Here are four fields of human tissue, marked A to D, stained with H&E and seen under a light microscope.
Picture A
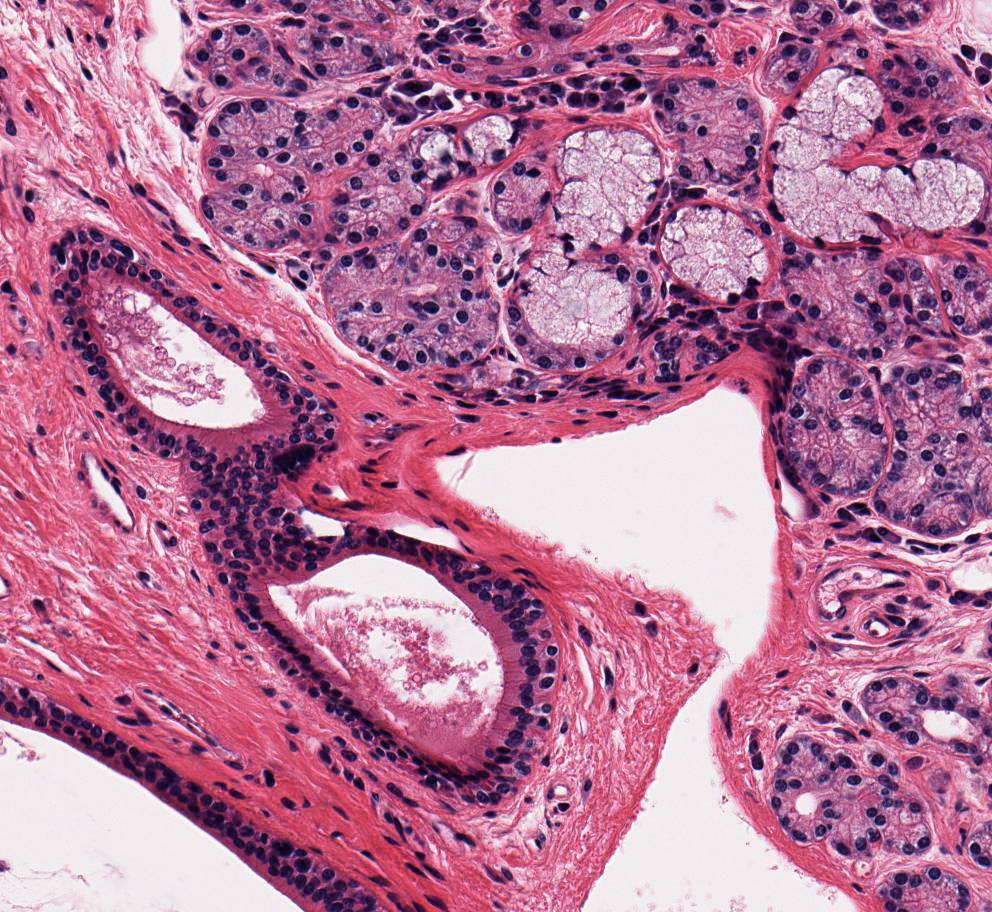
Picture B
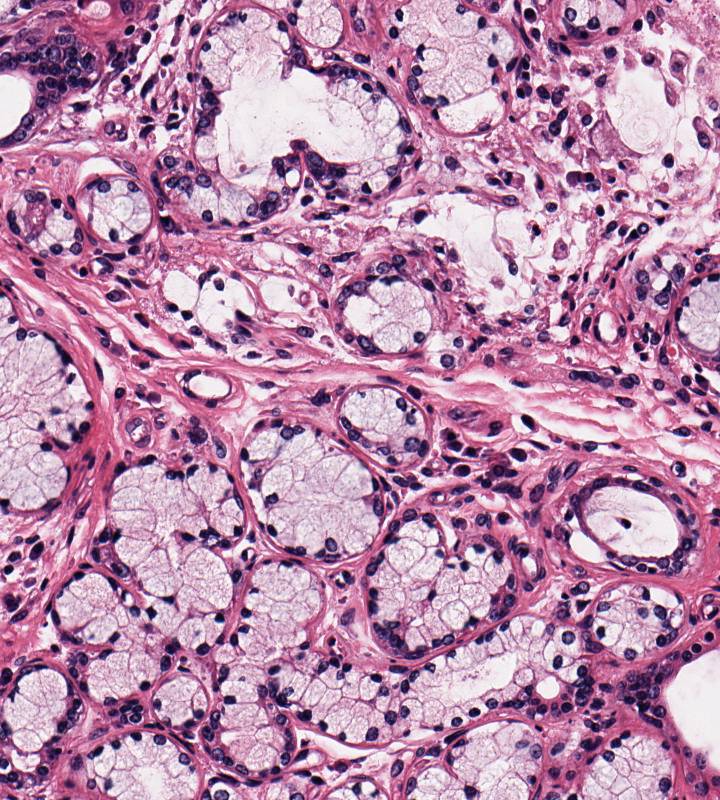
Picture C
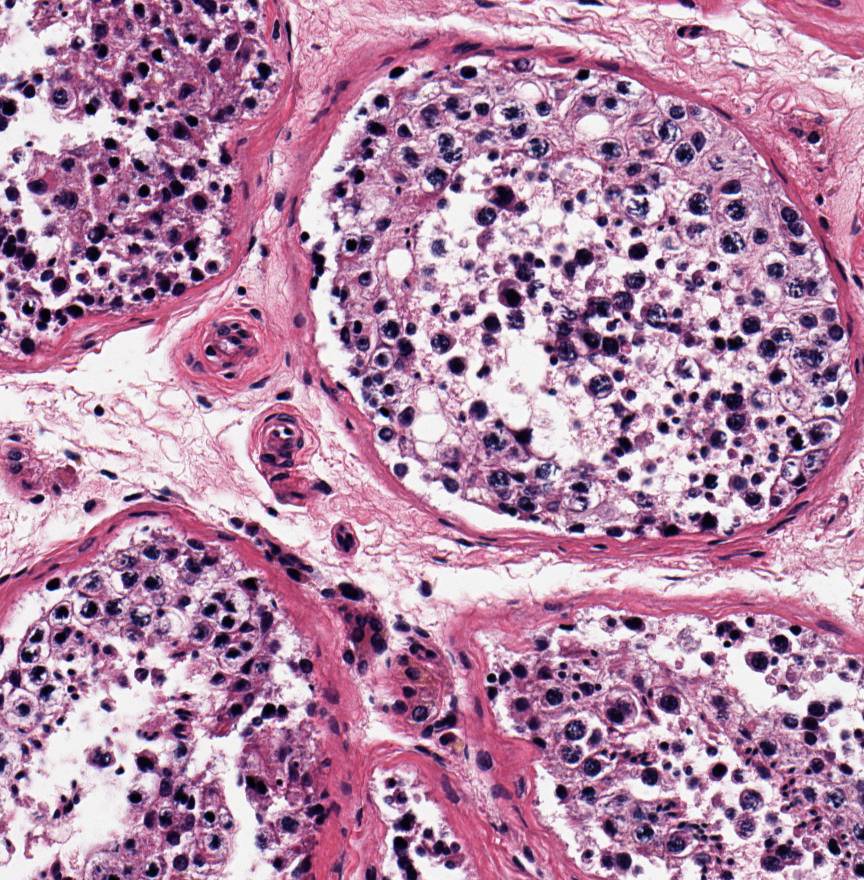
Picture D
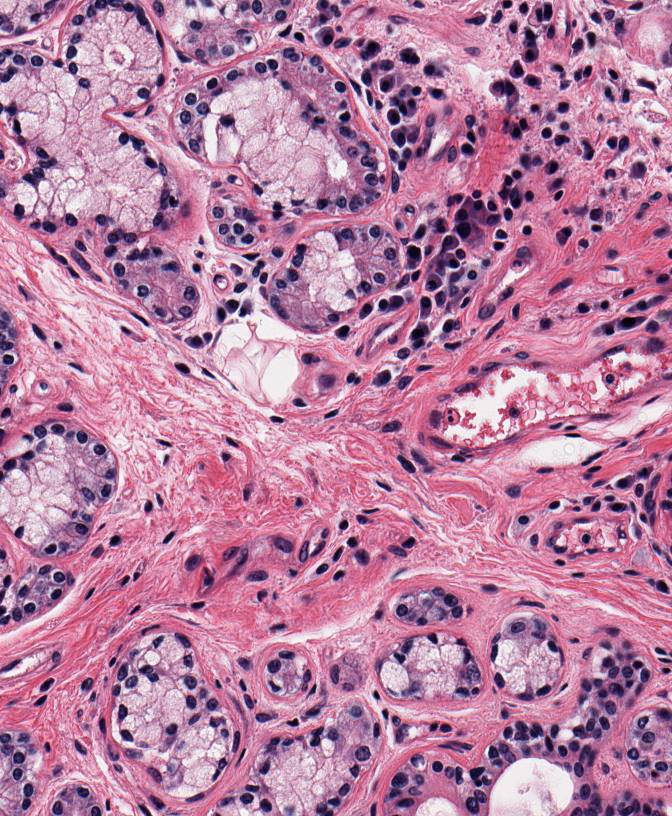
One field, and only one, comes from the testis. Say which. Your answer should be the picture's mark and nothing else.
C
